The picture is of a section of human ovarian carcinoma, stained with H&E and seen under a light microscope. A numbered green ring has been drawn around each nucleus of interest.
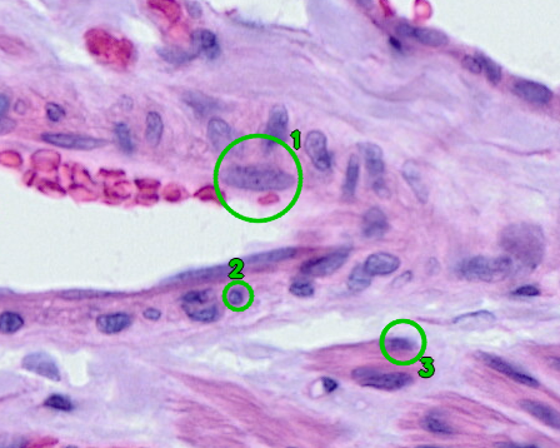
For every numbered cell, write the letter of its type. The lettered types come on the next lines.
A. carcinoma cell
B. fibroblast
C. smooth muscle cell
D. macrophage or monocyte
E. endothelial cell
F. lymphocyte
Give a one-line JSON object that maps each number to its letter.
{"1": "E", "2": "C", "3": "C"}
